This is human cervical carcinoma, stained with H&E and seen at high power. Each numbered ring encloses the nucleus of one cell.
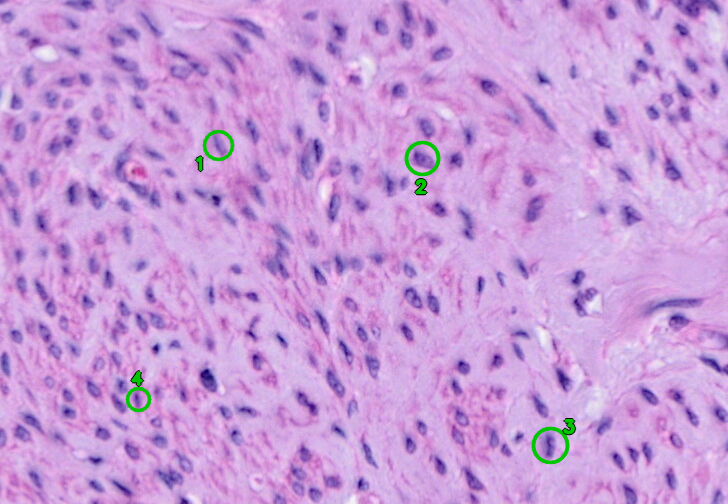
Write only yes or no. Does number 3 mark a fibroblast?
yes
